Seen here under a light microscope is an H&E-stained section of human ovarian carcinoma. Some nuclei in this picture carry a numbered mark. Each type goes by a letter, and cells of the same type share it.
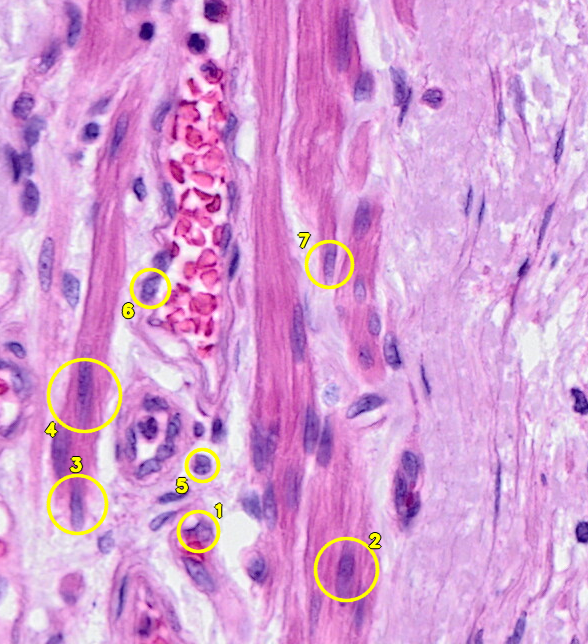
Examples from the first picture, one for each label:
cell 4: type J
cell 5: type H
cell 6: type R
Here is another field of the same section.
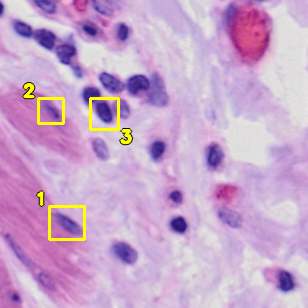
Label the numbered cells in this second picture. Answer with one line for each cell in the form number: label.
1: type J
2: type J
3: type H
